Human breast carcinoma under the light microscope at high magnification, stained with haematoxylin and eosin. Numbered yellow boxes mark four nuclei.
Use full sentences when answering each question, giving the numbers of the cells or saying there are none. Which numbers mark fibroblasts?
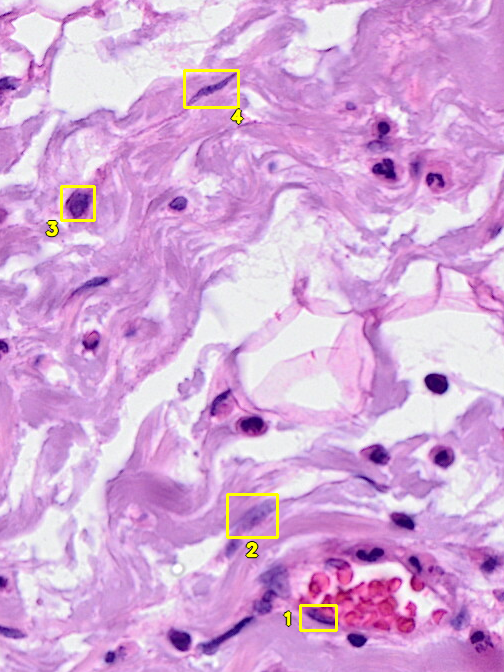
When it comes to cells 2 and 4, they are fibroblasts.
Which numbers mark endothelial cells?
Only one choice fits: cell 1 is an endothelial cell, and no other.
